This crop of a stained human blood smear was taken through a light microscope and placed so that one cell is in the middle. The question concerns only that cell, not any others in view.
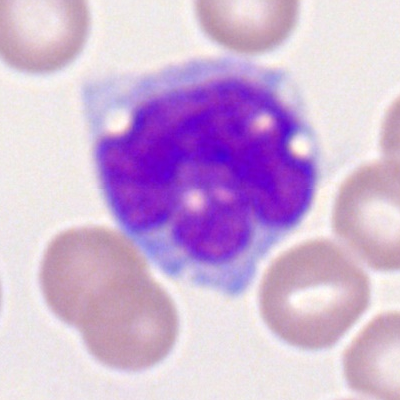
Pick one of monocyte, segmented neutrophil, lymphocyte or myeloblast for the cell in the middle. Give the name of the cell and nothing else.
monocyte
